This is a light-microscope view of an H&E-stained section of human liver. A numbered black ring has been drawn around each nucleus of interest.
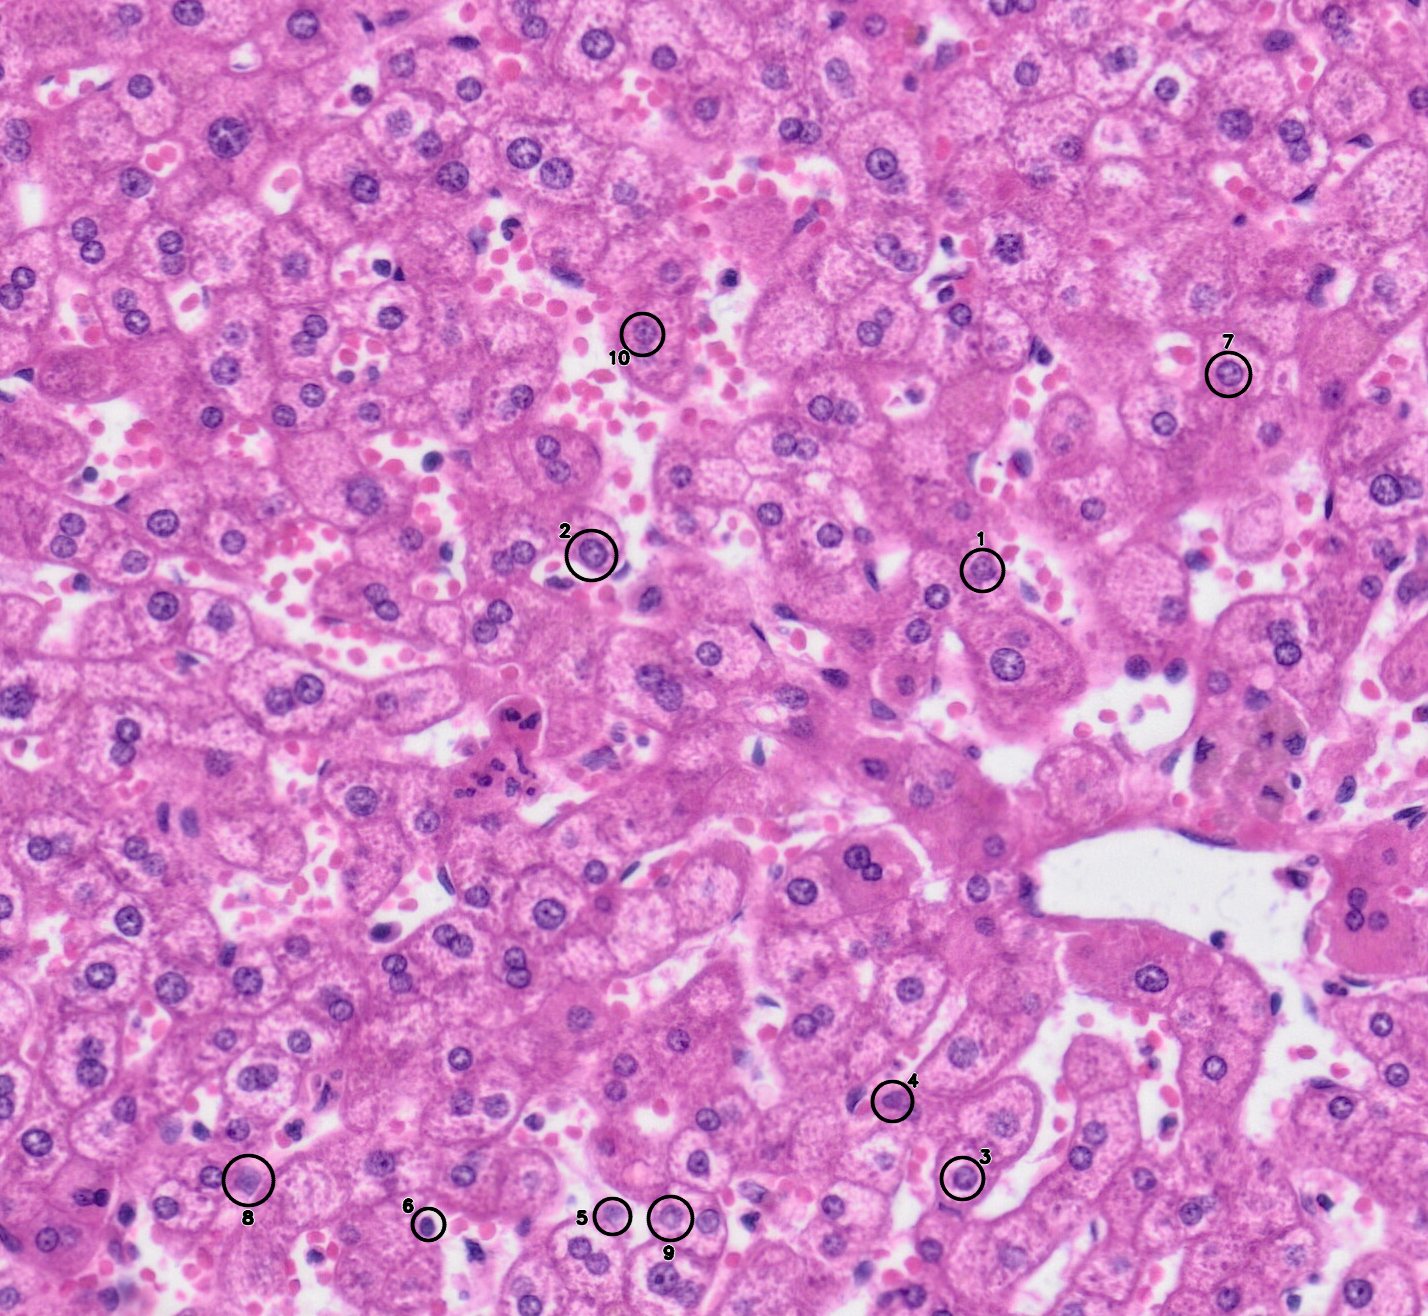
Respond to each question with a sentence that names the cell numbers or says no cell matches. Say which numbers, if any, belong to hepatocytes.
By cell type, the cells numbered 1, 2, 3, 7, 9 and 10 are hepatocytes.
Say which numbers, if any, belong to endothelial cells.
Only at number 8 is there an endothelial cell.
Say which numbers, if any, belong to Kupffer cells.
The cells marked by the numbers 4 and 5 are Kupffer cells.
